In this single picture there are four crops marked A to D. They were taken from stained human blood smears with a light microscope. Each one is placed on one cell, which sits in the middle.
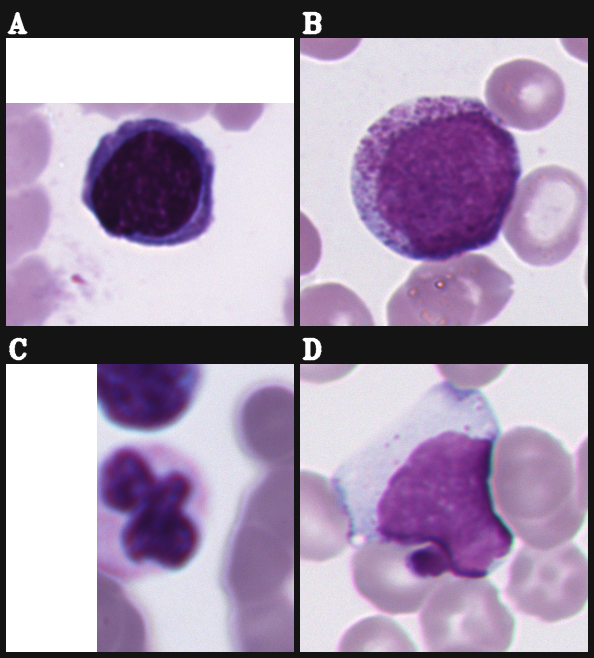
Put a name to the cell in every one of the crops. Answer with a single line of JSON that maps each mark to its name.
{"A": "normoblast", "B": "myelocyte", "C": "segmented neutrophil", "D": "large granular lymphocyte"}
